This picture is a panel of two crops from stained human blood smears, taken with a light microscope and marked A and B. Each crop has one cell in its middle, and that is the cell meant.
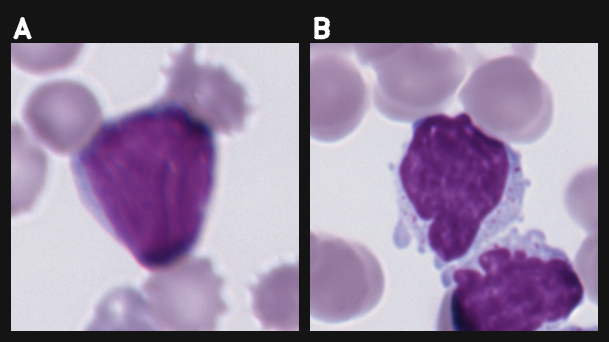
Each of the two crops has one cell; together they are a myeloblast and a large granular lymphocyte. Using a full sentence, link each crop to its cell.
Crop A depicts a myeloblast, and a large granular lymphocyte is depicted in crop B.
